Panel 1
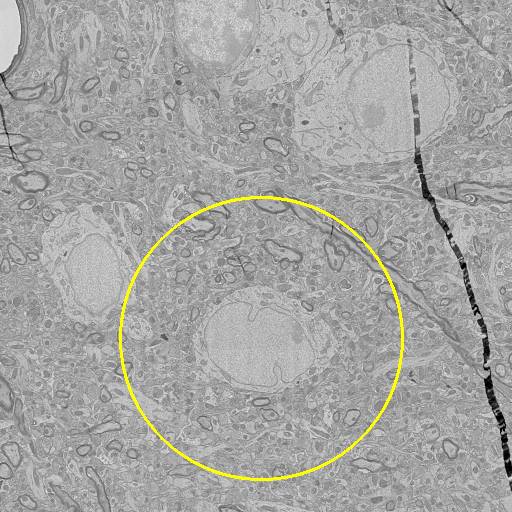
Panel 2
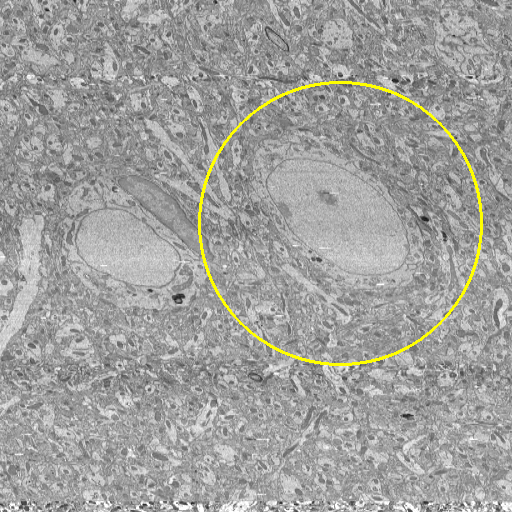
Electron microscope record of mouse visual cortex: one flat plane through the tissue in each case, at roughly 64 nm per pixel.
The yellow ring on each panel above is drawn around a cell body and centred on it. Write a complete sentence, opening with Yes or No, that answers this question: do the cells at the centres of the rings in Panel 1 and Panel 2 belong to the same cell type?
Yes, both cells belong to the same cell type.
